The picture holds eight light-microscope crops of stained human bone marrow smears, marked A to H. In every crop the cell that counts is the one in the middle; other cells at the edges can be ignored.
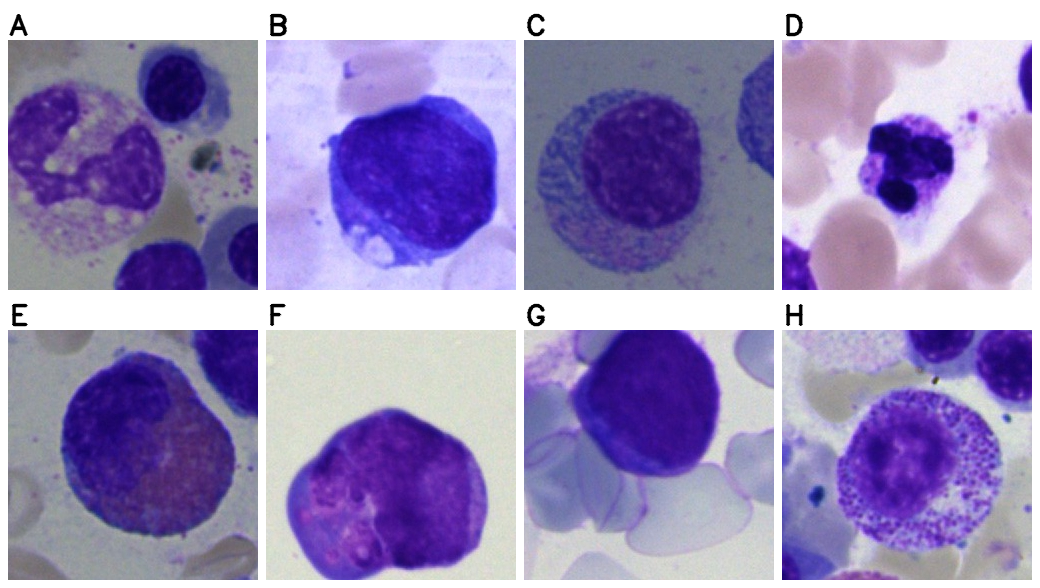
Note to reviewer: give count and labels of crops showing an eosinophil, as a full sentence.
The crop with an eosinophil is crop E, and it is the only such crop.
